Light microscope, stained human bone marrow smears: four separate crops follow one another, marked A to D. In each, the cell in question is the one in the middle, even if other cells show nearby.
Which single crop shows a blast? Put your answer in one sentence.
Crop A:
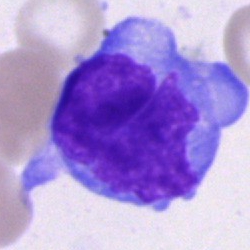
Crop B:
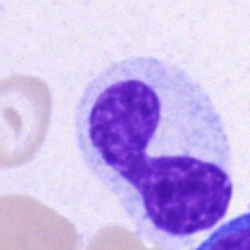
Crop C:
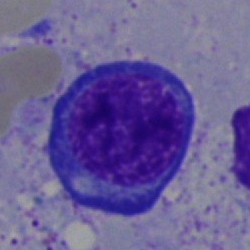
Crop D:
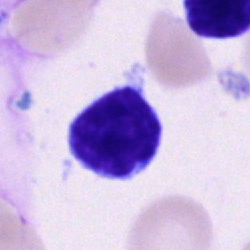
Crop A is the crop in which a blast is shown.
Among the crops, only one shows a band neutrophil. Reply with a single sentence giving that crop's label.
Crop B is the crop that shows a band neutrophil in its middle.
